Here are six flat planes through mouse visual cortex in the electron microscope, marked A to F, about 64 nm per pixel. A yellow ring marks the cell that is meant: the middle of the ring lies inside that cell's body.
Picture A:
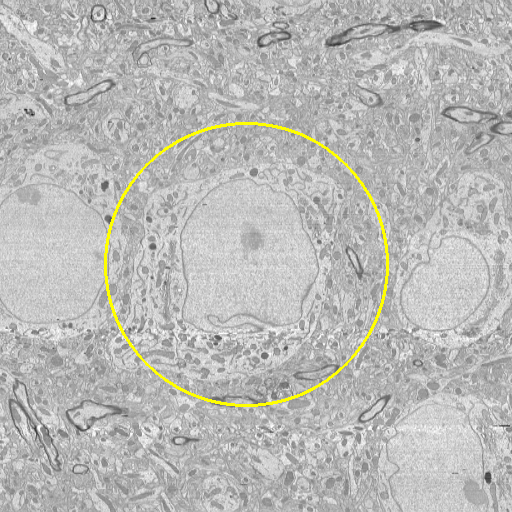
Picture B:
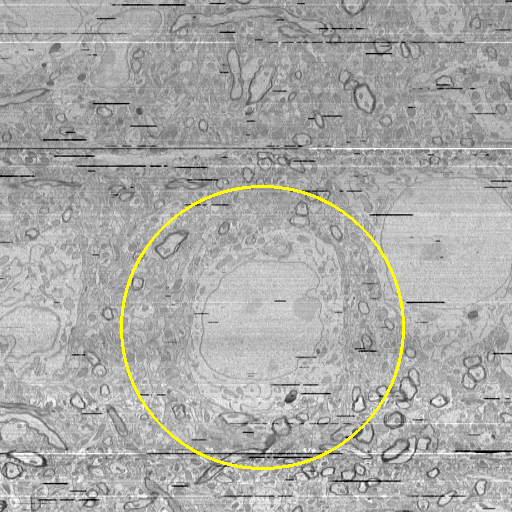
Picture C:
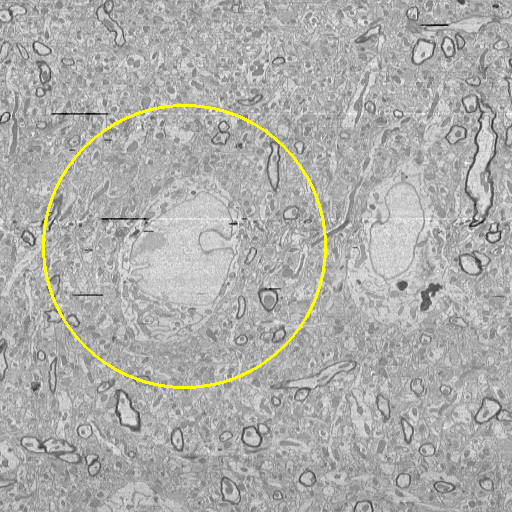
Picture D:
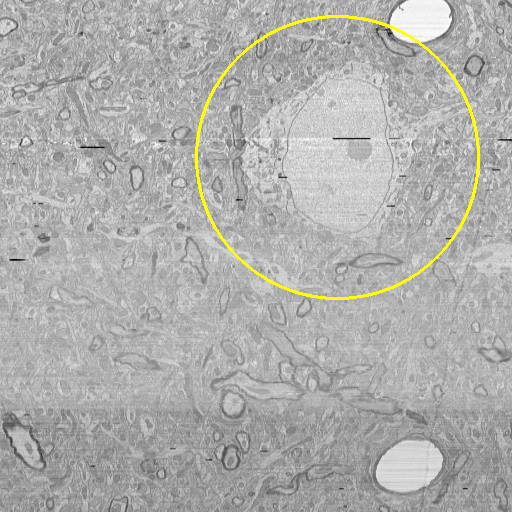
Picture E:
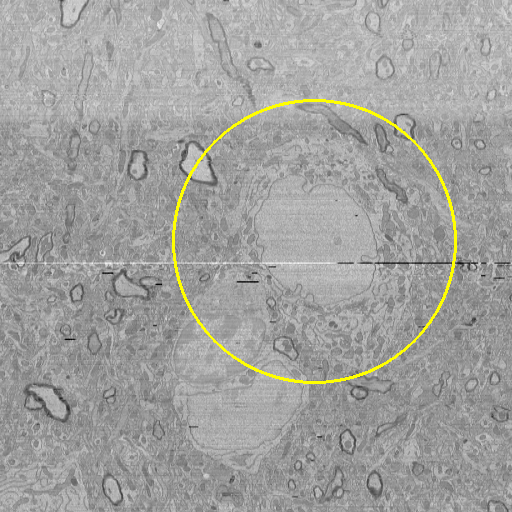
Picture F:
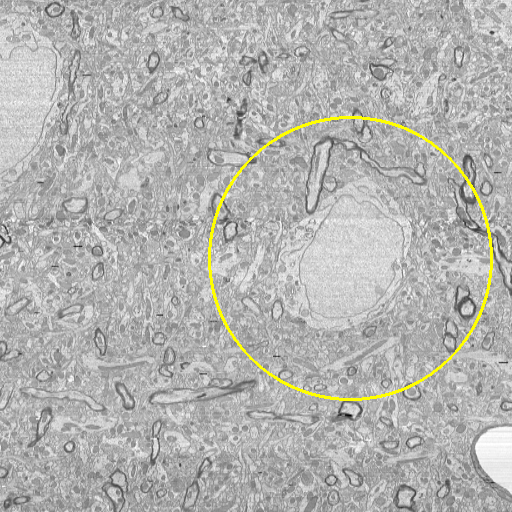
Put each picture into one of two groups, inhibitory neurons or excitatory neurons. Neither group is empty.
Pictures A, C and E show inhibitory neurons; pictures B, D and F show excitatory neurons.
